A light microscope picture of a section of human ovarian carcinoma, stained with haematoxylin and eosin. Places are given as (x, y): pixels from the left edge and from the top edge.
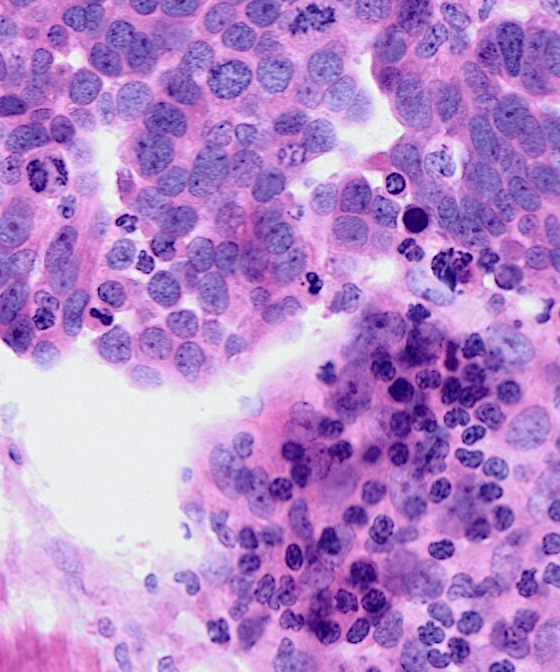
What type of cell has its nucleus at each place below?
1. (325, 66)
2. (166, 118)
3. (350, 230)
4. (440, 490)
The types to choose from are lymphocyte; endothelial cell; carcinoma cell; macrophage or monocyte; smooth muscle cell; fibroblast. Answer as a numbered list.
1. carcinoma cell
2. carcinoma cell
3. carcinoma cell
4. lymphocyte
